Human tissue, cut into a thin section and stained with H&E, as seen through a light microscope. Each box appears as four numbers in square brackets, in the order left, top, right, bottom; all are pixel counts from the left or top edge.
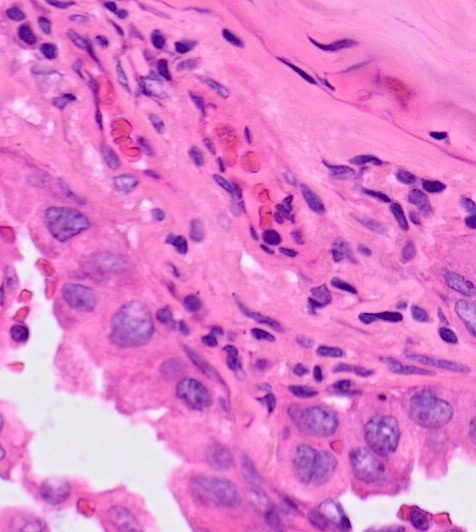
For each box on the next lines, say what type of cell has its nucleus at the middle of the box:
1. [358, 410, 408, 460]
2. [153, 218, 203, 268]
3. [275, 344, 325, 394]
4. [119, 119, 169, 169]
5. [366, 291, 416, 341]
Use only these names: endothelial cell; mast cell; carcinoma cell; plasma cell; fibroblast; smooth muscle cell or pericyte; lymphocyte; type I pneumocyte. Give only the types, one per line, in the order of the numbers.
carcinoma cell
lymphocyte
lymphocyte
endothelial cell
lymphocyte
